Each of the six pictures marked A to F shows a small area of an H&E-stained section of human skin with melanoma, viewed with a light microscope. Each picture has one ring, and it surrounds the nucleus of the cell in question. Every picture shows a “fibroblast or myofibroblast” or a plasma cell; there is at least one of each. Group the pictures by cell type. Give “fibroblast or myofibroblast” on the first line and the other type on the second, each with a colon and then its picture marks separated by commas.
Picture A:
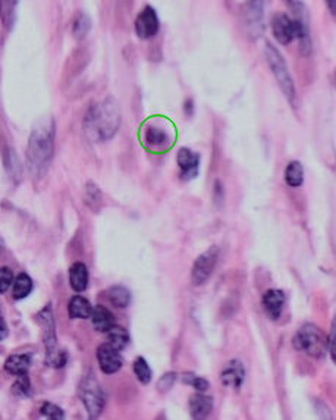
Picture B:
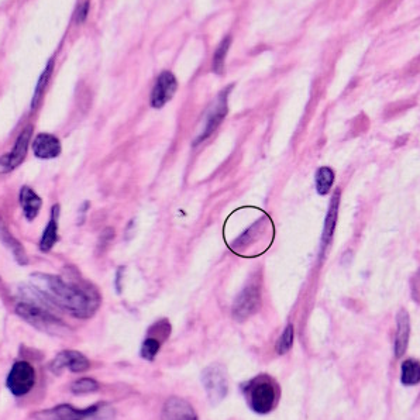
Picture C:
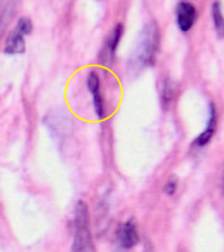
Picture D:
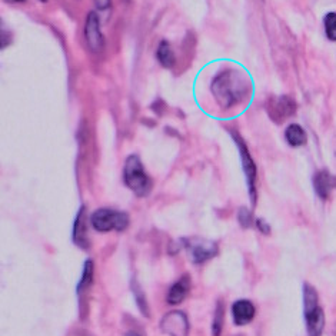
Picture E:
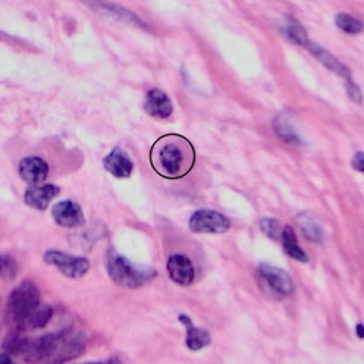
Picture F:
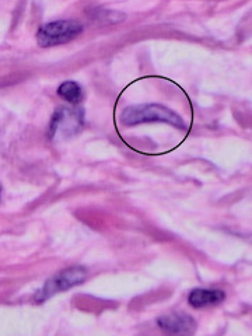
fibroblast or myofibroblast: B, C, D, F
plasma cell: A, E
